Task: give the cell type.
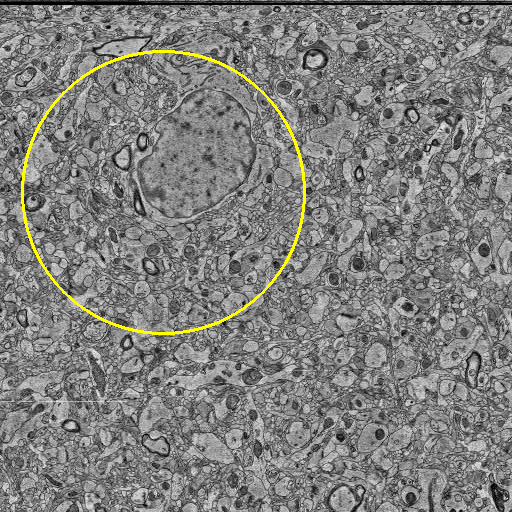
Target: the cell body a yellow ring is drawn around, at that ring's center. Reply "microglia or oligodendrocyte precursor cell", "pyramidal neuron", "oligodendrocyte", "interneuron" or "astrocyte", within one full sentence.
In this picture, the cell whose body lies at the ring's center is a microglial cell or oligodendrocyte precursor cell.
